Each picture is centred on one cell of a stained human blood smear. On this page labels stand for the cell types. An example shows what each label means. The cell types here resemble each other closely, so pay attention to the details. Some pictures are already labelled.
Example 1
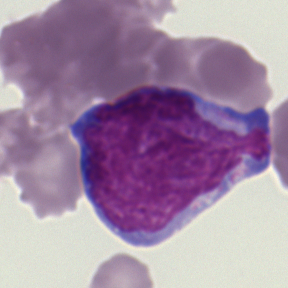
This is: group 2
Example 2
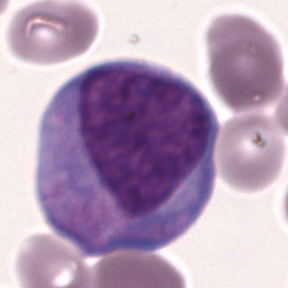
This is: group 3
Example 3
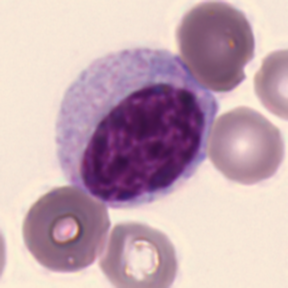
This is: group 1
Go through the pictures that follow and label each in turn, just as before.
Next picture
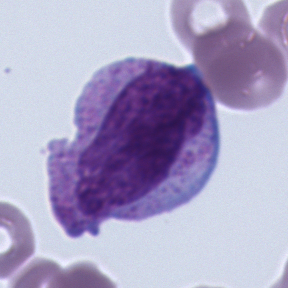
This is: group 3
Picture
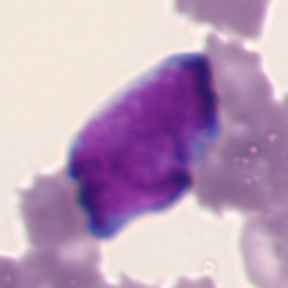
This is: group 2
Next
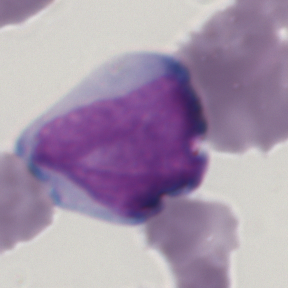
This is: group 2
